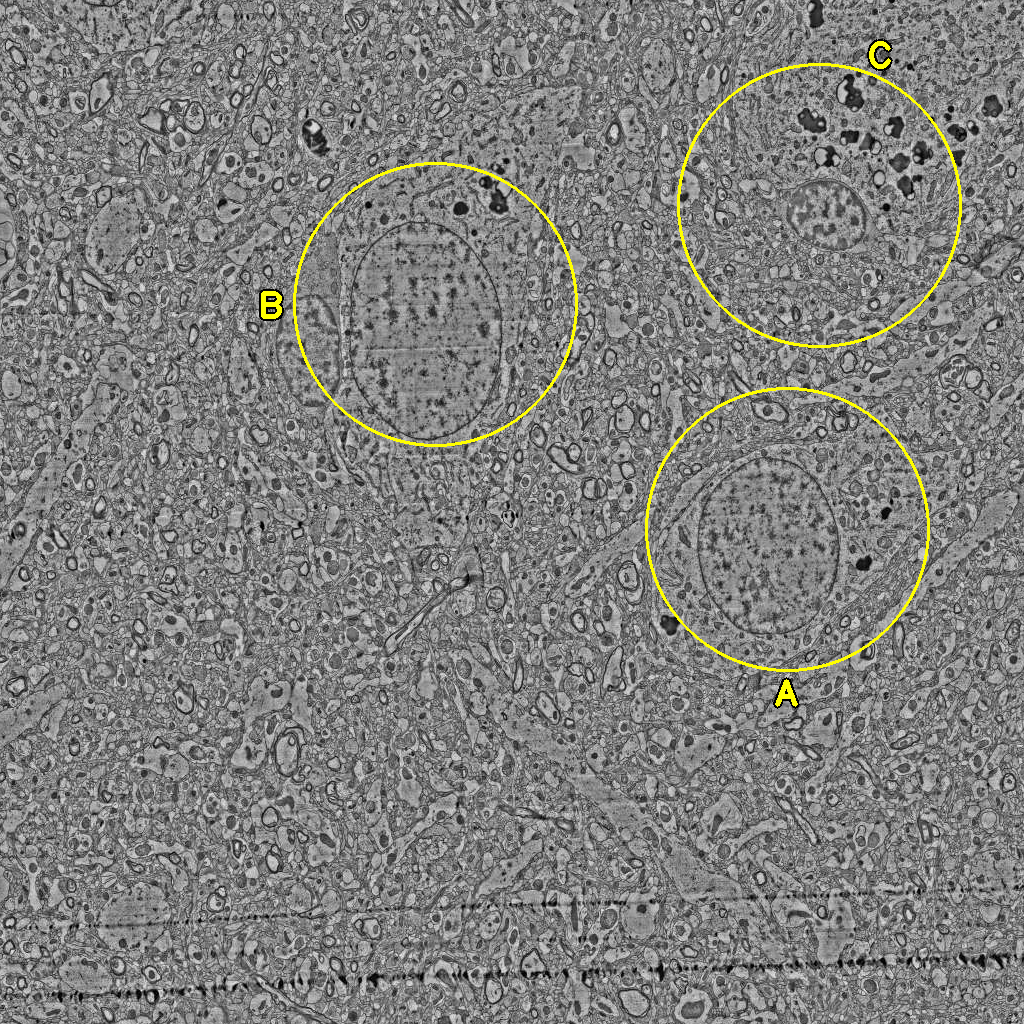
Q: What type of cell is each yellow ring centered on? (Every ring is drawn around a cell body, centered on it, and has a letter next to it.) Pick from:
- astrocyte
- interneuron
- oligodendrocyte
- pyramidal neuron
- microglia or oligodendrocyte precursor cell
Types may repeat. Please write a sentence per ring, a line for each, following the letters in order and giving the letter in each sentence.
The cell body centered in ring A belongs to an interneuron.
The cell body centered in ring B belongs to a pyramidal neuron.
The cell body centered in ring C belongs to an oligodendrocyte.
